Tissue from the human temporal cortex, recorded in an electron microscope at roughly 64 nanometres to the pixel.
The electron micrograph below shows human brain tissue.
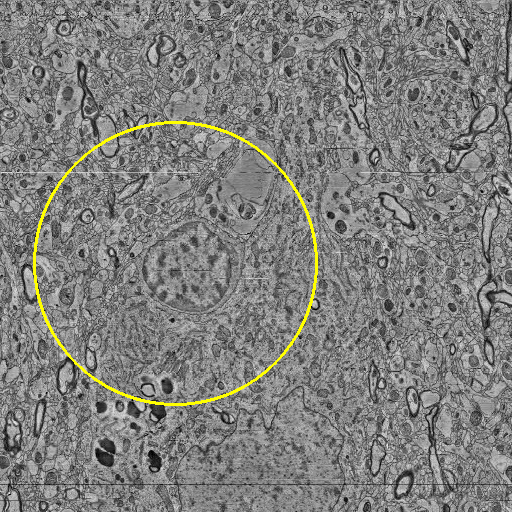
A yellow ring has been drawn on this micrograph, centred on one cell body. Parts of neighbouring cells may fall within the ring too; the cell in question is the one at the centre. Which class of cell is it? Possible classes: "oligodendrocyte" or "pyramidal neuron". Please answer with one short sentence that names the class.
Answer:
In the centre of the ring sits an oligodendrocyte.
